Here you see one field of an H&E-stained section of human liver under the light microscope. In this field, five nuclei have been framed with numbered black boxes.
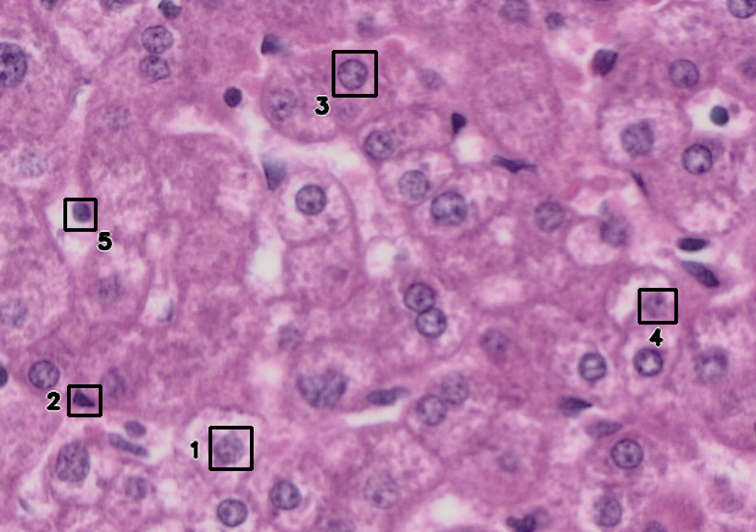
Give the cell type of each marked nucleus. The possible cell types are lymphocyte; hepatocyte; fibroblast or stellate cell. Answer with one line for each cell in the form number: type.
1: hepatocyte
2: fibroblast or stellate cell
3: hepatocyte
4: hepatocyte
5: lymphocyte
